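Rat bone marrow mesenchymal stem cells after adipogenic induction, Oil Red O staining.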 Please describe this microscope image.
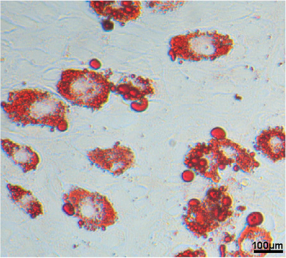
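The droplets are round and vary from small to fairly large. In many cells they are packed around a pale, unstained central area, forming a ring. Between the stained cells the background is pale with faint outlines of other cells. Some large droplets lie singly near the clusters.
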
